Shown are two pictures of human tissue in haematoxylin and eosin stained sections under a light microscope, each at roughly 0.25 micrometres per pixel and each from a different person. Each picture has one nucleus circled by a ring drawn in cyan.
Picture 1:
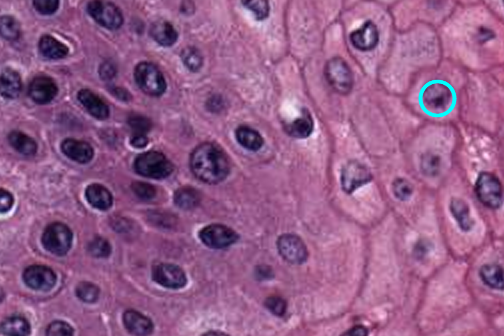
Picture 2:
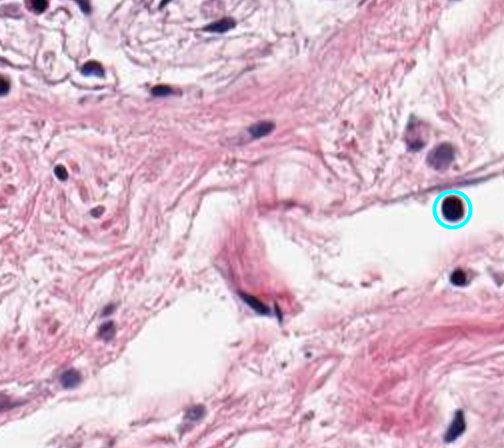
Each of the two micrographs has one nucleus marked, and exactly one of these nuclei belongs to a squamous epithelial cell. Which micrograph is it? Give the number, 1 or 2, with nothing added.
1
